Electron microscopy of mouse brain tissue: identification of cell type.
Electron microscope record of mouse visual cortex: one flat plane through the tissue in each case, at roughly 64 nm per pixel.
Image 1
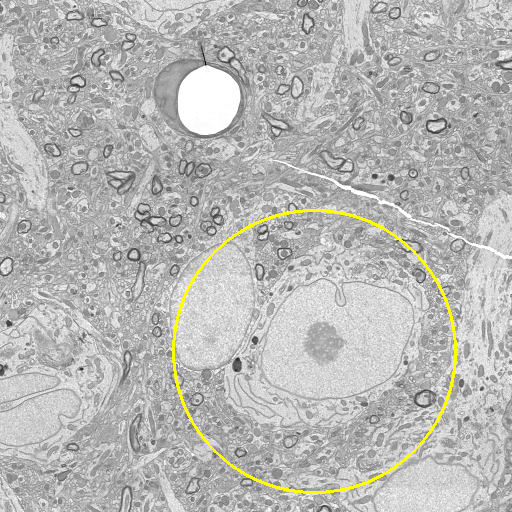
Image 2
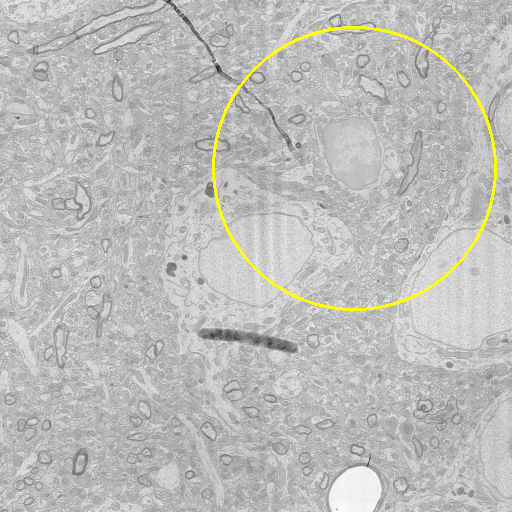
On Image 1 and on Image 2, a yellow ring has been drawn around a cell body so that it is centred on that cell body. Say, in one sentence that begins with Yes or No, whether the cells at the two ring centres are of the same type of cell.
No, the two cells are two separate types of cell.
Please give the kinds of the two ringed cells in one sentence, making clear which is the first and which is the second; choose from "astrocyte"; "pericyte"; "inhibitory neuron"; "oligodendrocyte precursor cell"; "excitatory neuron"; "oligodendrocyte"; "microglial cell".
In the second picture the ringed cell is a microglial cell; in the first it is an excitatory neuron.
